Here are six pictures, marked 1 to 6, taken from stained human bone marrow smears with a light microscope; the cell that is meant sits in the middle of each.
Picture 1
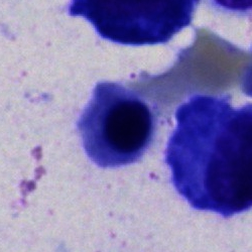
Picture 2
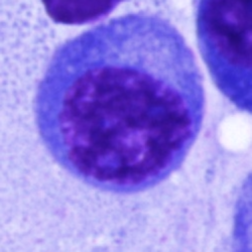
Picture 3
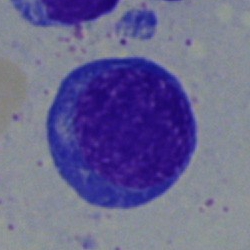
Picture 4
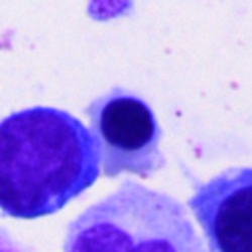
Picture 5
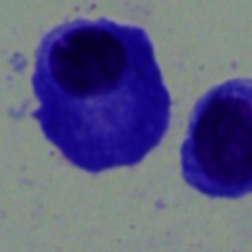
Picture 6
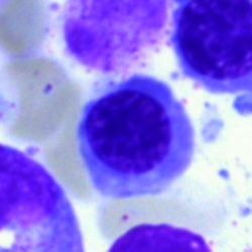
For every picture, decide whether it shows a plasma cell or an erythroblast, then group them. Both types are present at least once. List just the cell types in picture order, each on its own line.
erythroblast
plasma cell
erythroblast
erythroblast
plasma cell
erythroblast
